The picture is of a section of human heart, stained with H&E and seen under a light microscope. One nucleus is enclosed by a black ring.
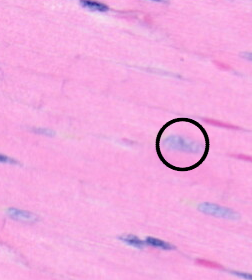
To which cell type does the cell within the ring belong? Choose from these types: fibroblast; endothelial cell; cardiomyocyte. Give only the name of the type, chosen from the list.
cardiomyocyte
